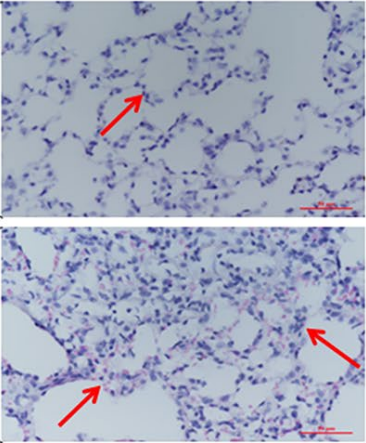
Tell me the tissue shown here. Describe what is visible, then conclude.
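Many open, rounded air spaces are bounded by thin walls. The walls are built of a few cell layers with small dark nuclei. The answer: lung.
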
